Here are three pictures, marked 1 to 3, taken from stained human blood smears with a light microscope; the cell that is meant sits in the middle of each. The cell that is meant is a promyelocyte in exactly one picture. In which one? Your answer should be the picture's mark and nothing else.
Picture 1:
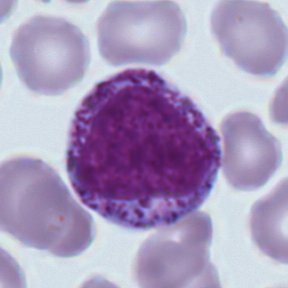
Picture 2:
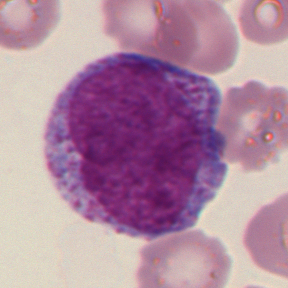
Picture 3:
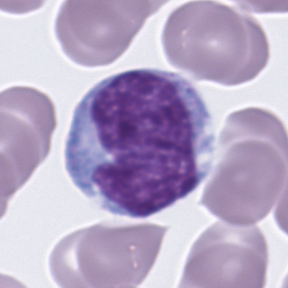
2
